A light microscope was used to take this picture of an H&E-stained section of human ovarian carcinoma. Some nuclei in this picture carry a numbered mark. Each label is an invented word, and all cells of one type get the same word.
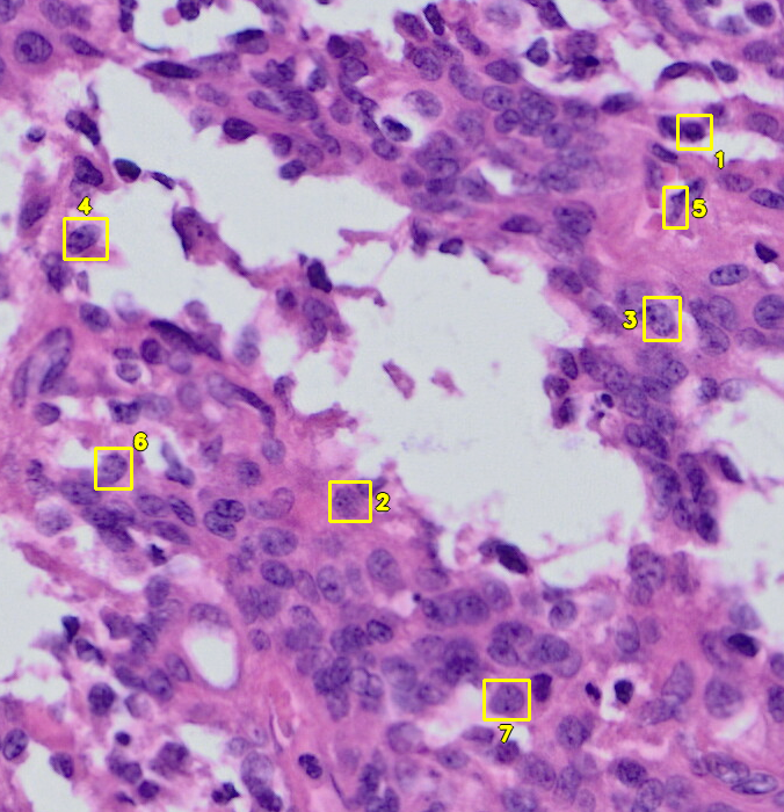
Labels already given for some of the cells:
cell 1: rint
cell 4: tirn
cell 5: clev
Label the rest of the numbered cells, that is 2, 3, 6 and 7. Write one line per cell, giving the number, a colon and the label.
2: rint
3: tirn
6: tirn
7: rint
